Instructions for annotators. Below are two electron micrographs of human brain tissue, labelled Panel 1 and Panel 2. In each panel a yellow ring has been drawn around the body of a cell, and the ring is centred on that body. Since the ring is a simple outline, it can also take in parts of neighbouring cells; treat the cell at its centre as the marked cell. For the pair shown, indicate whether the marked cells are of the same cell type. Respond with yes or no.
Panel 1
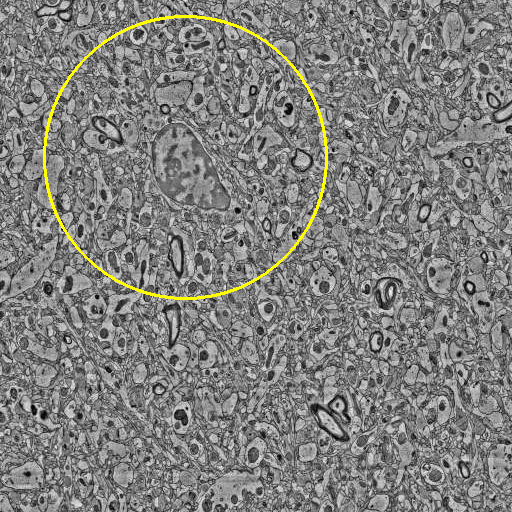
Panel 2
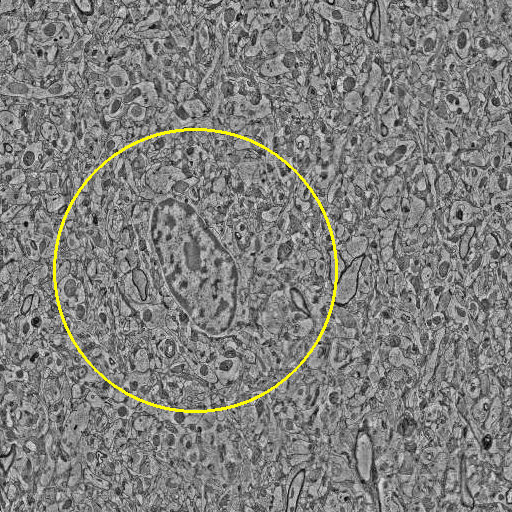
yes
